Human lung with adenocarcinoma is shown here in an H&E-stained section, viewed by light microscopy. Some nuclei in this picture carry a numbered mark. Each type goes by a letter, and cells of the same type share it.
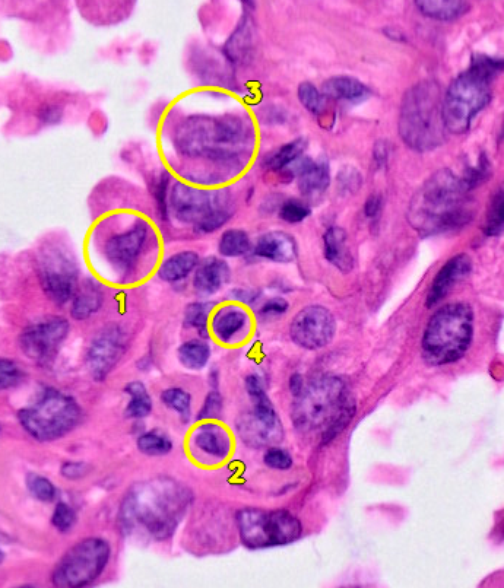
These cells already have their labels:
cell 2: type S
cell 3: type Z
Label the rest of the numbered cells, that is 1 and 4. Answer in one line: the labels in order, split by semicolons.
type Z; type S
